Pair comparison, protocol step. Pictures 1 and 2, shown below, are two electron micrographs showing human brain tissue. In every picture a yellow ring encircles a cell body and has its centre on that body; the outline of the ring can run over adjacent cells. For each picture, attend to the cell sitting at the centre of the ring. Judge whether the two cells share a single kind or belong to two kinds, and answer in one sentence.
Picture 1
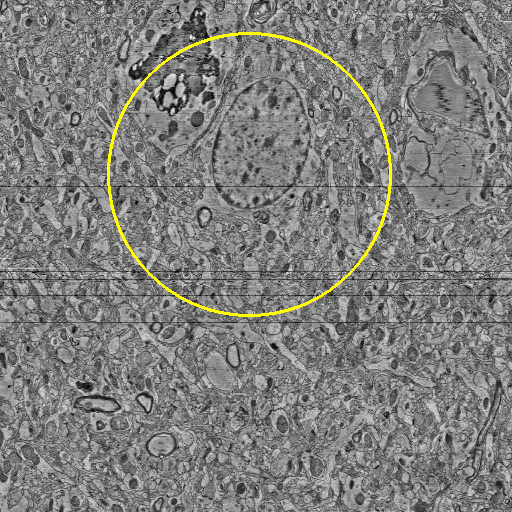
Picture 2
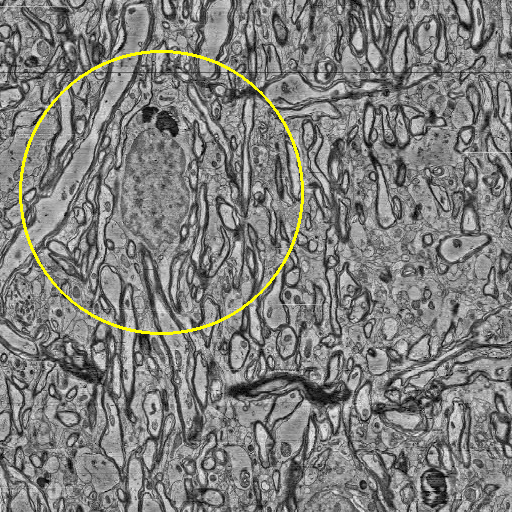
The two cells at the ring centres in Picture 1 and Picture 2 belong to two kinds.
